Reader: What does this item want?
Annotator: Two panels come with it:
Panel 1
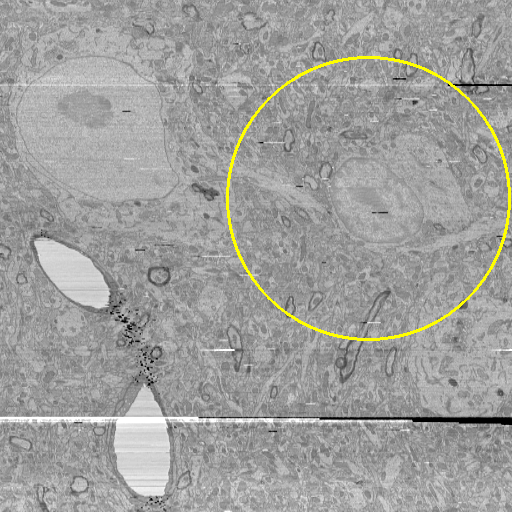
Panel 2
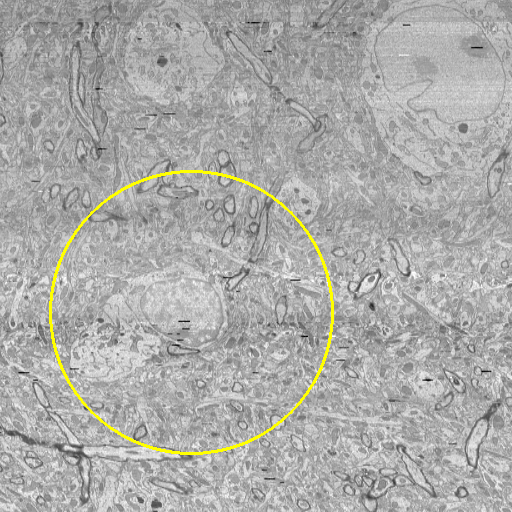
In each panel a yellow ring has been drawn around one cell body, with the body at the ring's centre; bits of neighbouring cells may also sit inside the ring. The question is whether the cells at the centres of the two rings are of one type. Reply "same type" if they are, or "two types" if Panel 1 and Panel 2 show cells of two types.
same type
